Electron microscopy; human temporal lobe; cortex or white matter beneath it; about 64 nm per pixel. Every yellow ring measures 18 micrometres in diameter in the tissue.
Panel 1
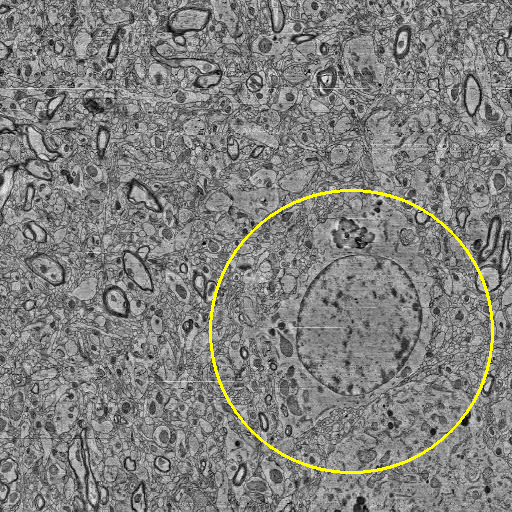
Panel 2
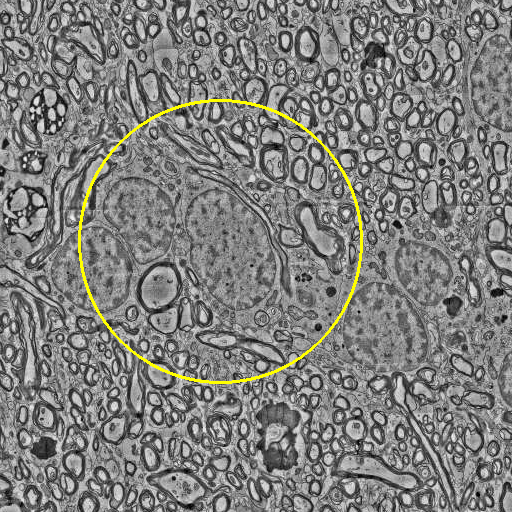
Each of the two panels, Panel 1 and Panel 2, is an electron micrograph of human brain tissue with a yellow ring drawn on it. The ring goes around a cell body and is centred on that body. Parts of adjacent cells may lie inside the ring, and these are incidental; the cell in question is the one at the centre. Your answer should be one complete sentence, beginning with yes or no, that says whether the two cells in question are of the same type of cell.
No, the two cells are of two types.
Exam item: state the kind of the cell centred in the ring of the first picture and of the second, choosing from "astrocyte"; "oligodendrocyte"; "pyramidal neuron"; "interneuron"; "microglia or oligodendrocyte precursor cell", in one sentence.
The first picture shows an astrocyte at the ring centre and the second shows an oligodendrocyte.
